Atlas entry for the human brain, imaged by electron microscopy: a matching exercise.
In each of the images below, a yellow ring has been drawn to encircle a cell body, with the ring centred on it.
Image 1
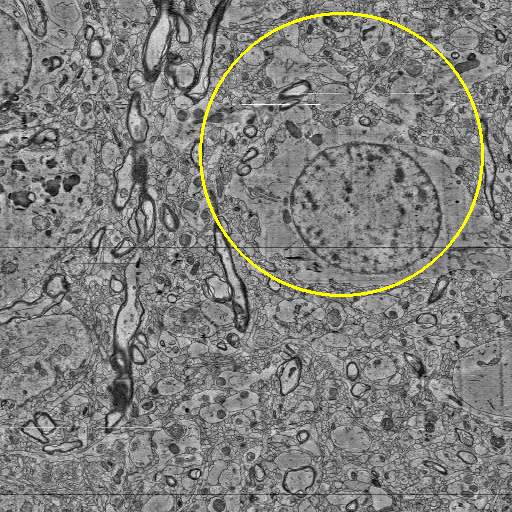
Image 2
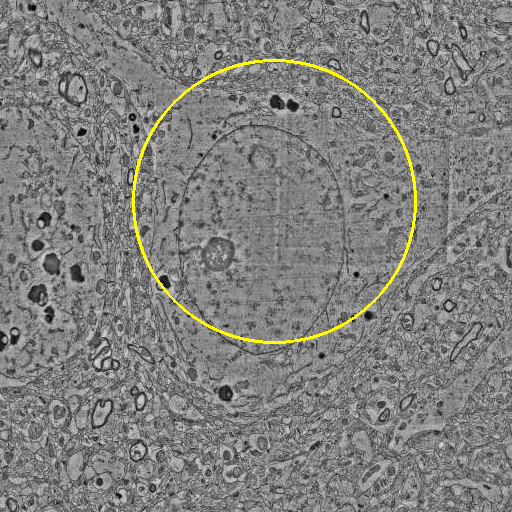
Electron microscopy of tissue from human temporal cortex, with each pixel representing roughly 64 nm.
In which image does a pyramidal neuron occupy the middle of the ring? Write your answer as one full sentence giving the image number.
In image 2, the ring is centred on the cell in question.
